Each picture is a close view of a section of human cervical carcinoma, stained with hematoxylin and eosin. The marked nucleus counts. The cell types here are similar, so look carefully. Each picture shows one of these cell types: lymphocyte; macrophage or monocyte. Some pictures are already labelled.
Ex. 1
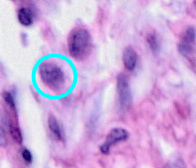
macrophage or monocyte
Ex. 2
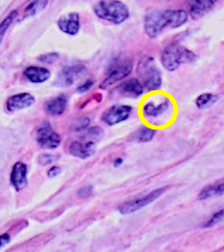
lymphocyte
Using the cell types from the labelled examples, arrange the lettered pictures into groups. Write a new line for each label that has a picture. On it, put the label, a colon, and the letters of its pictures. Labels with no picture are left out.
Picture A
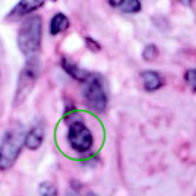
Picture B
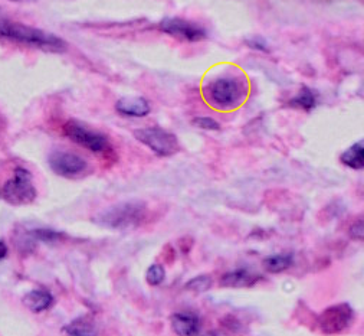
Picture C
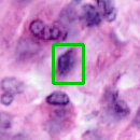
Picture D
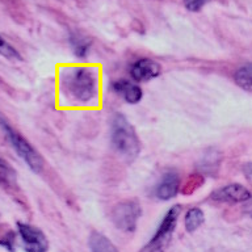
lymphocyte: A, C
macrophage or monocyte: B, D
